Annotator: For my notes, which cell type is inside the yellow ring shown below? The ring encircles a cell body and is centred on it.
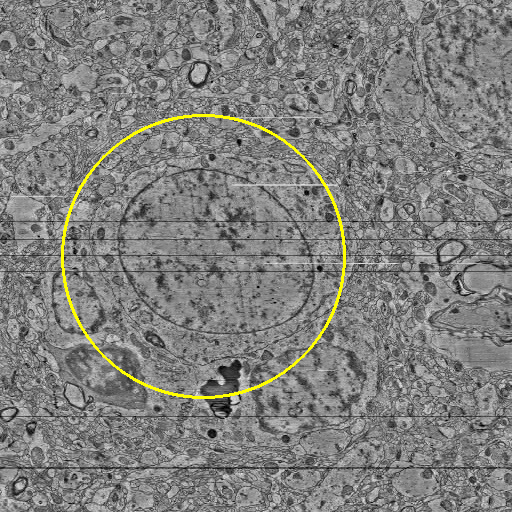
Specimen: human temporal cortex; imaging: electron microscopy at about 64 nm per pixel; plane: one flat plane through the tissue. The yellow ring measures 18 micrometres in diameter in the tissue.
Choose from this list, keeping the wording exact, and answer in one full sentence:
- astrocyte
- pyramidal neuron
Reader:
At the centre of the yellow ring there is a pyramidal neuron, as shown in the picture.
